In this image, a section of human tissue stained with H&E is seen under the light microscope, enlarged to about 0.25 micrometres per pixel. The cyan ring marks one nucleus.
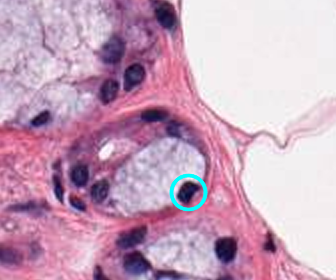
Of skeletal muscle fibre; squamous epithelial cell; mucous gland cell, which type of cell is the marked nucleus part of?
mucous gland cell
